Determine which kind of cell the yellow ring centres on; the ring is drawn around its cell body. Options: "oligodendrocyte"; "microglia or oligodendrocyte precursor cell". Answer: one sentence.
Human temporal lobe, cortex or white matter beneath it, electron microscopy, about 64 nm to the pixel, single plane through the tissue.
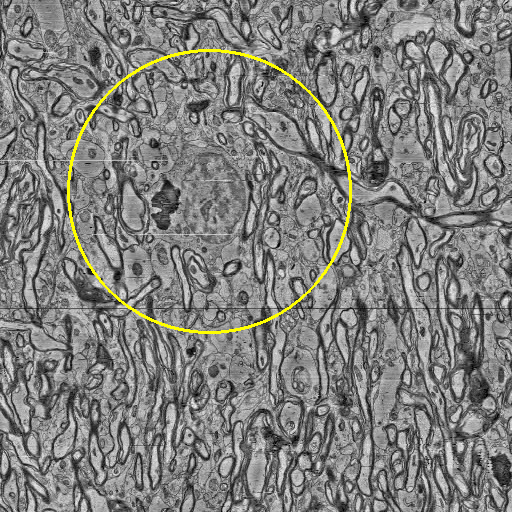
The ring centres on an oligodendrocyte.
